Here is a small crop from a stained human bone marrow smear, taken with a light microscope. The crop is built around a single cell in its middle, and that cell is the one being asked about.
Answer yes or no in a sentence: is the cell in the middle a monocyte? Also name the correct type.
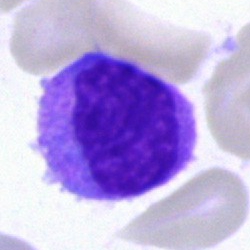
Yes, the cell at the centre is designated a monocyte.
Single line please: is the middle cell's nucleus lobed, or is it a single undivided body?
What stands out is a nucleus forming one compact round, oval or kidney-shaped mass.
